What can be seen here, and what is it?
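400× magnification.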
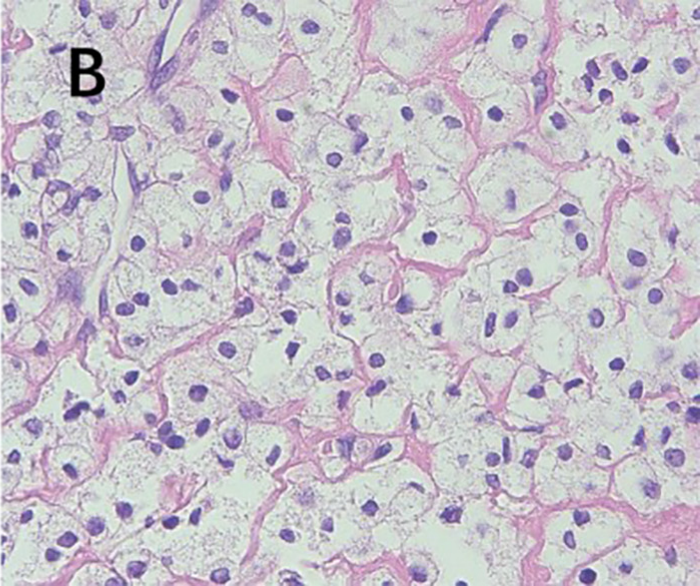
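Epithelioid tumour cells with abundant clear to finely vacuolated pale cytoplasm and distinct cell borders. Nuclei are small, round to oval, dark and fairly uniform, without obvious mitotic figures or necrosis. Thin pink fibrovascular strands run between the cells.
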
